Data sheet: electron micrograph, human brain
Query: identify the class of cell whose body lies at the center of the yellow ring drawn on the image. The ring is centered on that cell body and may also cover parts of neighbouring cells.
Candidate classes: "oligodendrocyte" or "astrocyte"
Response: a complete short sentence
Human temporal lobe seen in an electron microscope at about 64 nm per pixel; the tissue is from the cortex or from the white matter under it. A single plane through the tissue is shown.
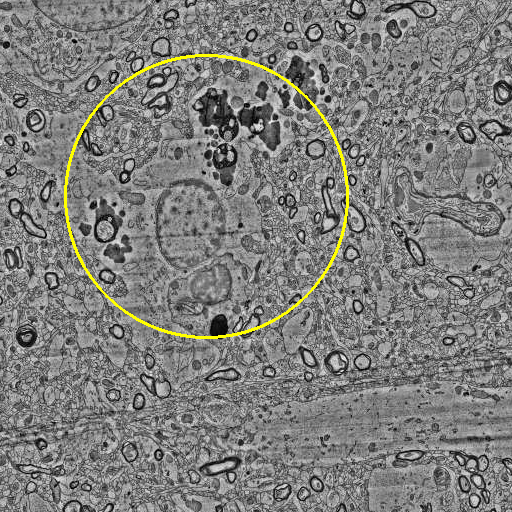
At the center of the ring lies an astrocyte.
